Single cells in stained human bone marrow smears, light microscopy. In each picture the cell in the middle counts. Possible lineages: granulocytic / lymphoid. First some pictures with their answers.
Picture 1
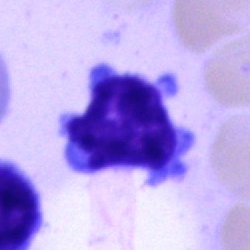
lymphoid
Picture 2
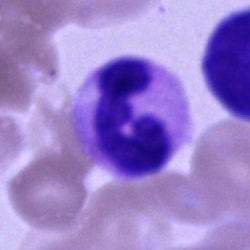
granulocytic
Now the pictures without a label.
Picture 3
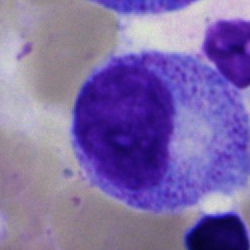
granulocytic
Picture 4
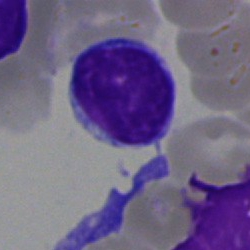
lymphoid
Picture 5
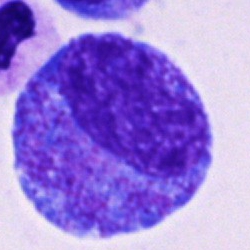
granulocytic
